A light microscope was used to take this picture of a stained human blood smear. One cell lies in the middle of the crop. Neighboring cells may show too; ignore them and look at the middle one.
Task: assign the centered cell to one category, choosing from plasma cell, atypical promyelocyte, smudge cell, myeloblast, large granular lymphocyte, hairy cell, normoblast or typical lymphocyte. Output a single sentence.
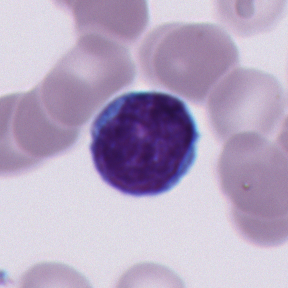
The centrally positioned cell in the crop represents a typical lymphocyte.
